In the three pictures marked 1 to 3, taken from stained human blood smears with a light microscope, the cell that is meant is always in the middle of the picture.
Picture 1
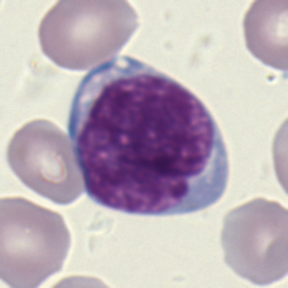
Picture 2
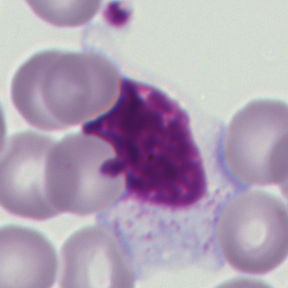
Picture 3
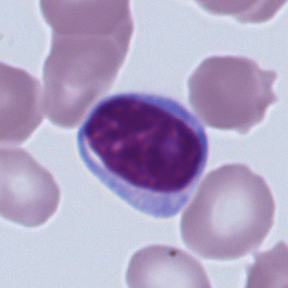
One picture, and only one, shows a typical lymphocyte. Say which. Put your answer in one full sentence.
Picture 3 shows the typical lymphocyte.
